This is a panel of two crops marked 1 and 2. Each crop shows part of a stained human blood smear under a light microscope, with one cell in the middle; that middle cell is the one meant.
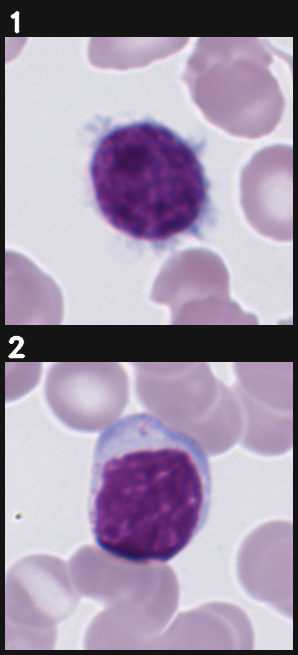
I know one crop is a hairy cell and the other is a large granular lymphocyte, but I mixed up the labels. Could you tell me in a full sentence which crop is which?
As for the pair, crop 1 is a hairy cell and crop 2 is a large granular lymphocyte.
